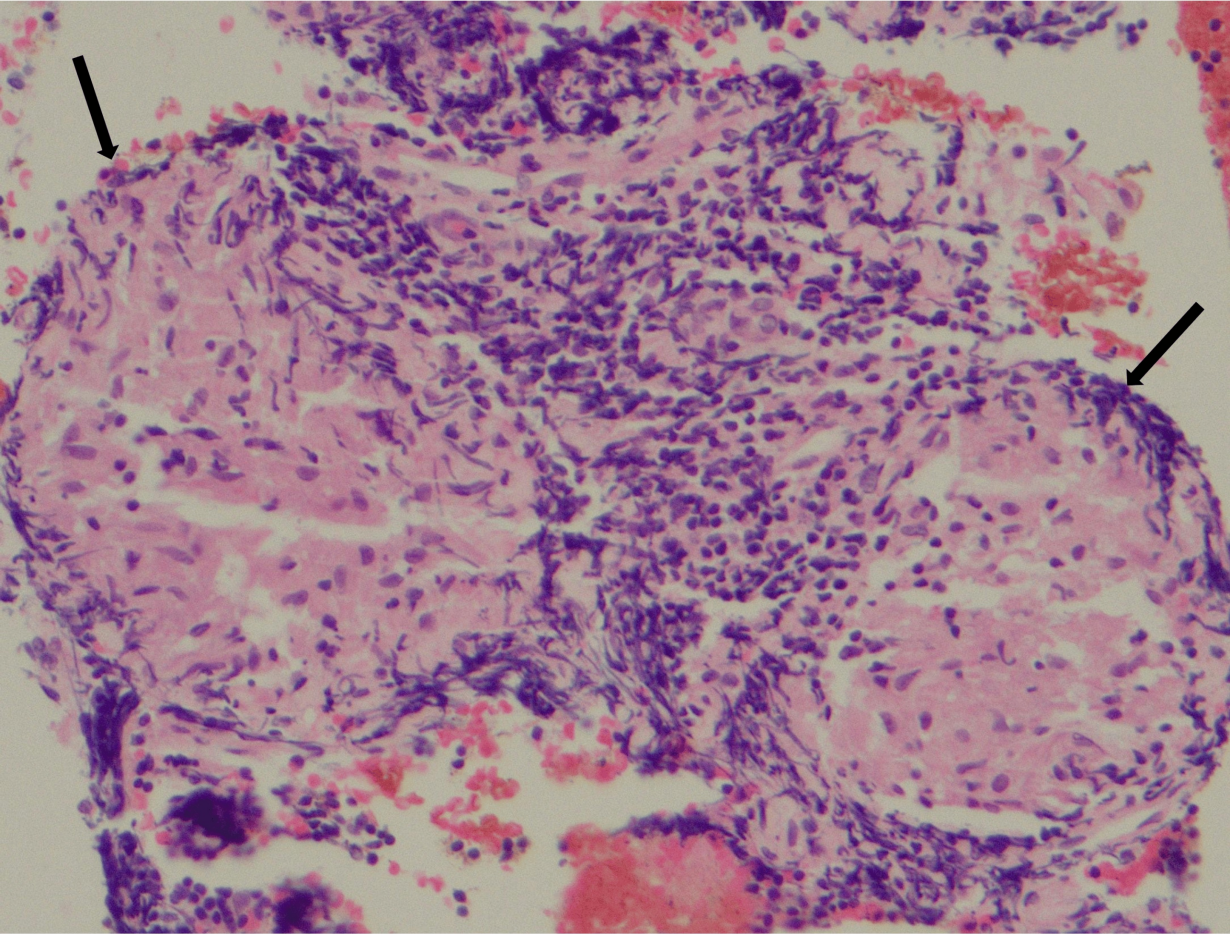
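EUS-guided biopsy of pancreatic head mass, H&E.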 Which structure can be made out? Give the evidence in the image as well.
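Small dark round nuclei form a narrow band around the pale nodules. Dense small dark cells lie between the two nodules.
Hence: thin lymphoid cuff.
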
